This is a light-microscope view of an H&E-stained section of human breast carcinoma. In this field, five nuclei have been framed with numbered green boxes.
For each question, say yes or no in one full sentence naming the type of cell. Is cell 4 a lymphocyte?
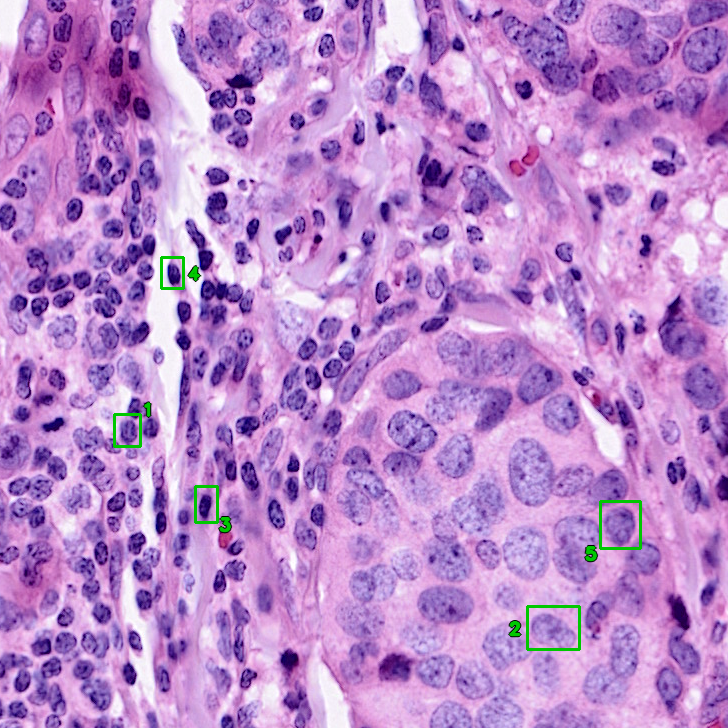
Yes, the cell carrying label 4 is a lymphocyte.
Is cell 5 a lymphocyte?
No, the cell labelled 5 is a carcinoma cell and not a lymphocyte.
